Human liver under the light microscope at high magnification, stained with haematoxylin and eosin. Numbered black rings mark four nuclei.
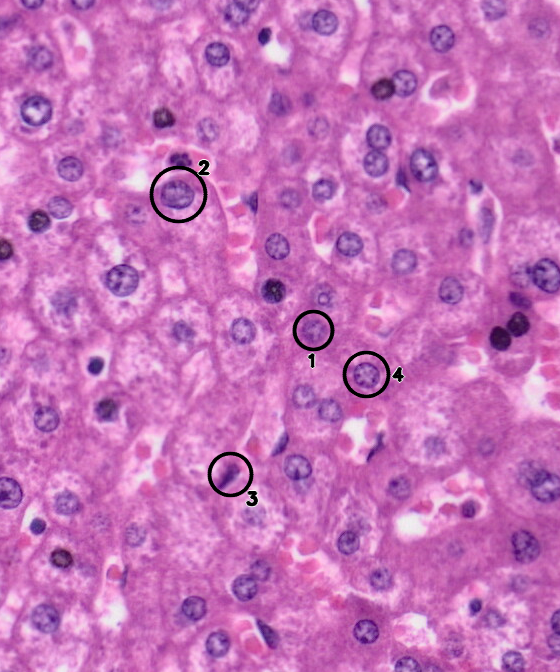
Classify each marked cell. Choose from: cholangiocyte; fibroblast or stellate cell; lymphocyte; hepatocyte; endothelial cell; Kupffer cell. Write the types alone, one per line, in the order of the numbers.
hepatocyte
hepatocyte
endothelial cell
hepatocyte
